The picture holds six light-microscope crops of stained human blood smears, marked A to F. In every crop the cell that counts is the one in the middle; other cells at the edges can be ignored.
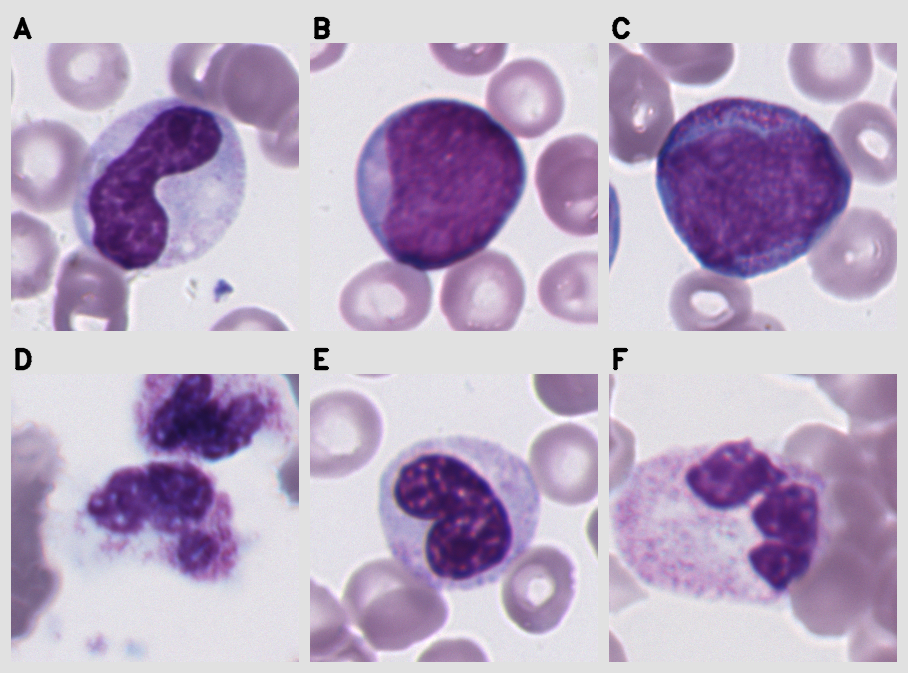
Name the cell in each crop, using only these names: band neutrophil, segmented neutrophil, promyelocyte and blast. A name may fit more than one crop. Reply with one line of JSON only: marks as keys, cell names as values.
{"A": "band neutrophil", "B": "blast", "C": "promyelocyte", "D": "segmented neutrophil", "E": "band neutrophil", "F": "segmented neutrophil"}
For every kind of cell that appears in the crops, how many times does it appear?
band neutrophil: 2
segmented neutrophil: 2
blast: 1
promyelocyte: 1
